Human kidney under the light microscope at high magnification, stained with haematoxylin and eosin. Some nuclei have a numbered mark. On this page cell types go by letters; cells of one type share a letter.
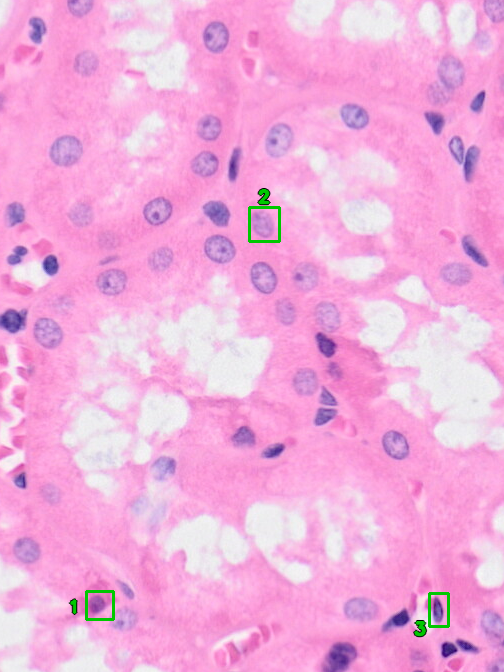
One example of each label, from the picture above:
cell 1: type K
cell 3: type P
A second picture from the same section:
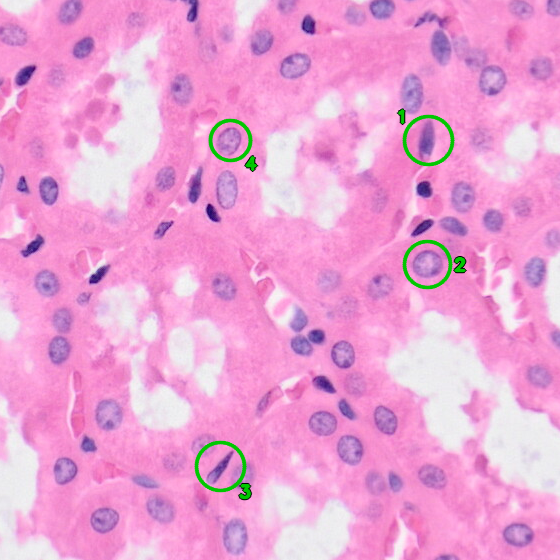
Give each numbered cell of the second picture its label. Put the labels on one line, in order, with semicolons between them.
type P; type K; type P; type K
